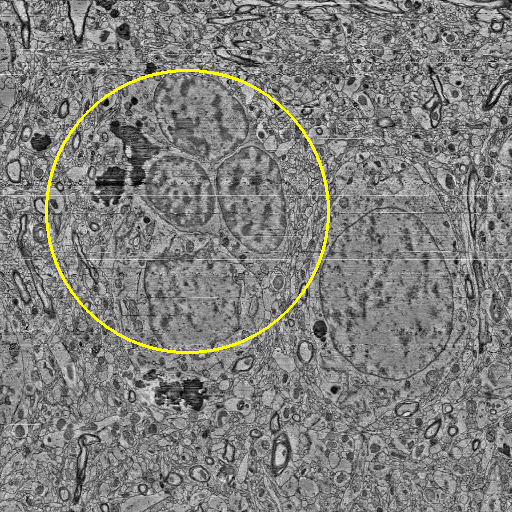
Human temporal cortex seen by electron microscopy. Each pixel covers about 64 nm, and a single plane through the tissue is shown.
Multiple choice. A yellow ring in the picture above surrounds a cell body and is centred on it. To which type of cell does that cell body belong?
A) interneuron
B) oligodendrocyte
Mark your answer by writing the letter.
B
